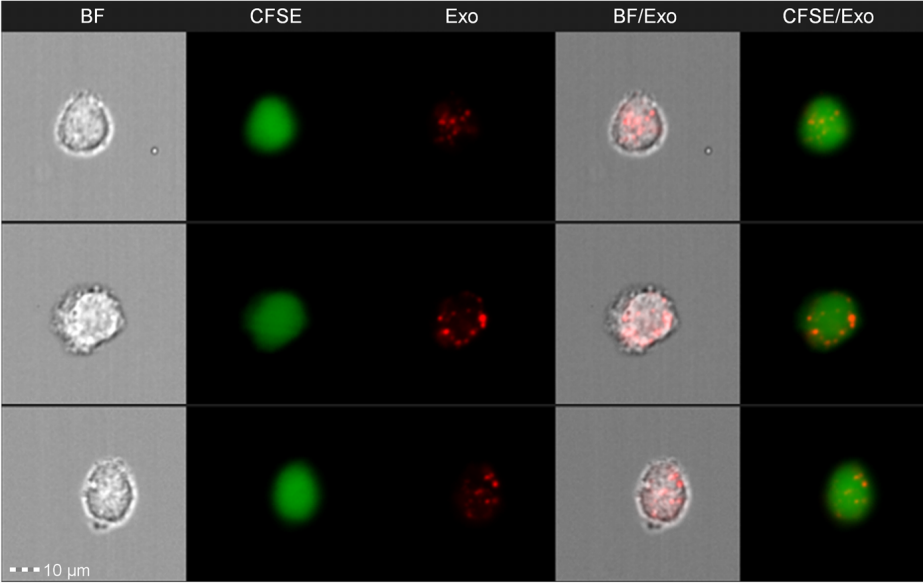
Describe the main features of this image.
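Three single cells in suspension are shown, each as a row of matched images. Green fluorescence fills the whole cell body evenly and matches the brightfield outline. In the red channel, a small number of discrete bright dots and small clusters are scattered within each cell. In the merged images, these red dots lie inside the cell boundary and within the green area, rather than outside the cell.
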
